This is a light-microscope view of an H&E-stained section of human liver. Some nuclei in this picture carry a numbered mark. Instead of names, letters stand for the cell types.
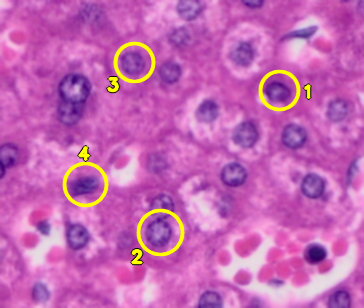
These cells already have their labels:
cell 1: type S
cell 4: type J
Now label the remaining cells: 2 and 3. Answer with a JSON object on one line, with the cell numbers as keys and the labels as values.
{"2": "type S", "3": "type S"}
